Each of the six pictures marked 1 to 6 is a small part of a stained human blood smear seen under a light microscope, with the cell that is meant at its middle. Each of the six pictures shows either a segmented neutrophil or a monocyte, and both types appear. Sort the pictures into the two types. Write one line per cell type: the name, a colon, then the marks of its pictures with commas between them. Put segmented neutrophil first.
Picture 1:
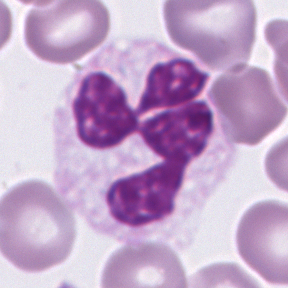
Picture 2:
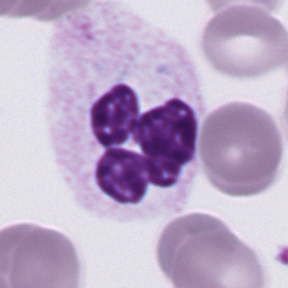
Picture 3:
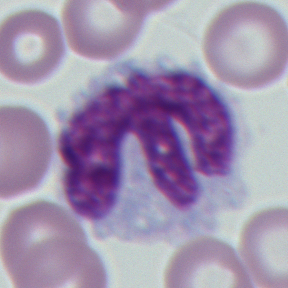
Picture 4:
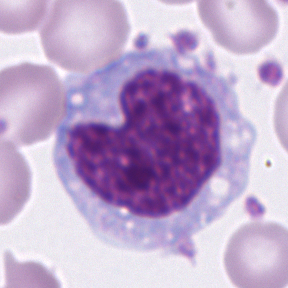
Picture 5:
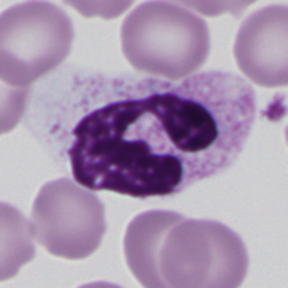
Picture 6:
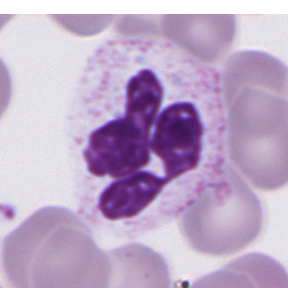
segmented neutrophil: 1, 2, 5, 6
monocyte: 3, 4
